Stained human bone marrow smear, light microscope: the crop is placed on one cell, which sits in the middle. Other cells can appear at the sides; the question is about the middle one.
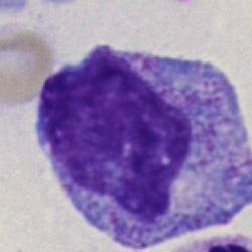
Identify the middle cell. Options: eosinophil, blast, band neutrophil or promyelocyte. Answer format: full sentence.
The identification for the central cell is a promyelocyte.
